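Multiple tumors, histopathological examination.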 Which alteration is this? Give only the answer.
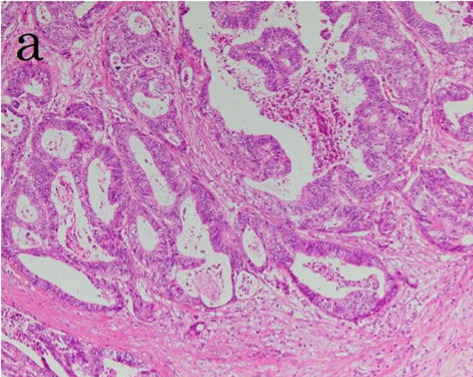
Well to moderately differentiated adenocarcinoma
